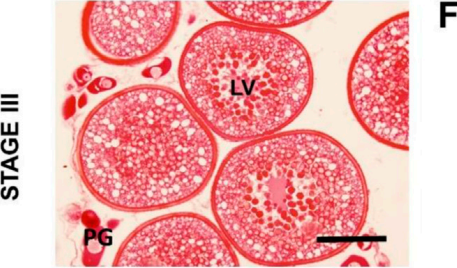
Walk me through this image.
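A section of fish ovary in which large, round, late-vitellogenic oocytes fill most of the field. Each is bounded by a thin, even, pink-staining envelope. Their cytoplasm is crowded with many small clear vacuoles, while red-staining yolk granules gather densely toward the centre of the cell. The large oocytes lie closely packed, and in the narrow spaces between them sit much smaller primary growth oocytes, whose cytoplasm stains a deep, uniform red and lacks vacuoles and yolk granules.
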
